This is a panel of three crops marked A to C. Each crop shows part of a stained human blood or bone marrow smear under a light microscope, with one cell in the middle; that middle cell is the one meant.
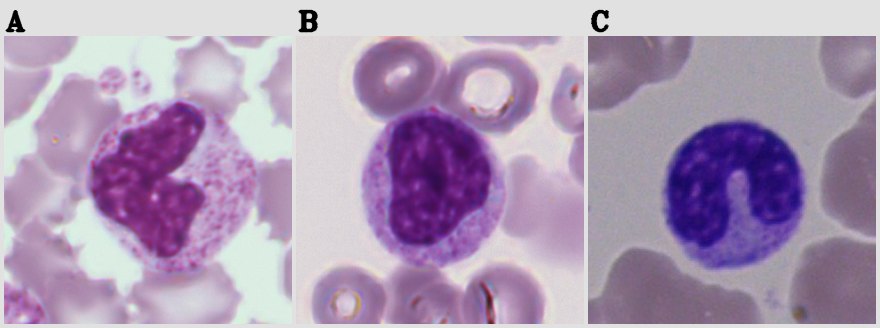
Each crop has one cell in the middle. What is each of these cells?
A: band neutrophil
B: metamyelocyte
C: band neutrophil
